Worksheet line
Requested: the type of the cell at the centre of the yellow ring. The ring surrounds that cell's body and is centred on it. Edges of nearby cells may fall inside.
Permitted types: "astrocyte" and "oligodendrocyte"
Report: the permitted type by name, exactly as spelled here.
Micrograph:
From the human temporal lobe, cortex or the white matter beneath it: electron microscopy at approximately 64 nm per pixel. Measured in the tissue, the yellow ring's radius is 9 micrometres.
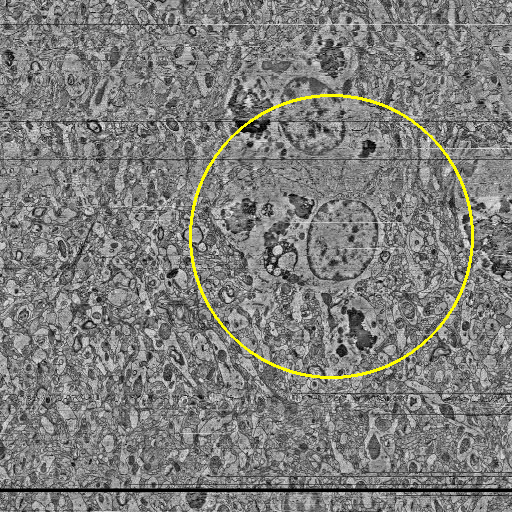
astrocyte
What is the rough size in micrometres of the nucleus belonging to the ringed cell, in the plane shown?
The nucleus appears roughly 6 by 5 micrometres in this plane.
